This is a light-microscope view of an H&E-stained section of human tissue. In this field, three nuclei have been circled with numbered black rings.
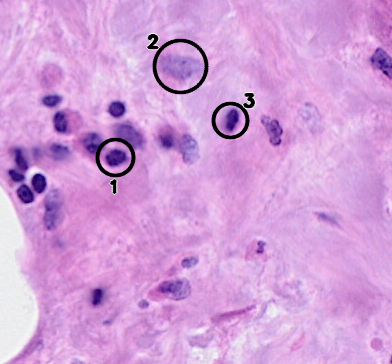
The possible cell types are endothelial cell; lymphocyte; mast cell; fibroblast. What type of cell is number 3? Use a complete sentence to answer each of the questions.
In the tissue shown, cell 3 is a lymphocyte.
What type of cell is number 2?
The one labeled 2 is a fibroblast, to put it simply.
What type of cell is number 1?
The numbered cell 1 in this field is a lymphocyte.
